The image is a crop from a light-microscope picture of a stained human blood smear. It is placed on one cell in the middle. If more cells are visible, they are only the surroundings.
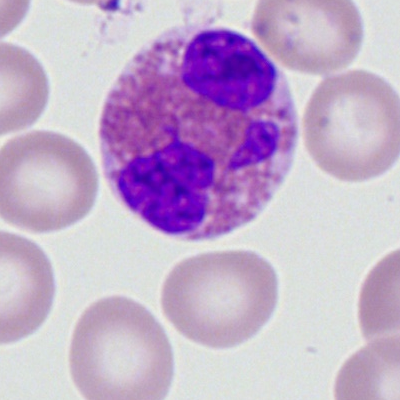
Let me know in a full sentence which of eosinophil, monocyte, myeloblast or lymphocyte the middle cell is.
At the middle of the frame sits an eosinophil.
